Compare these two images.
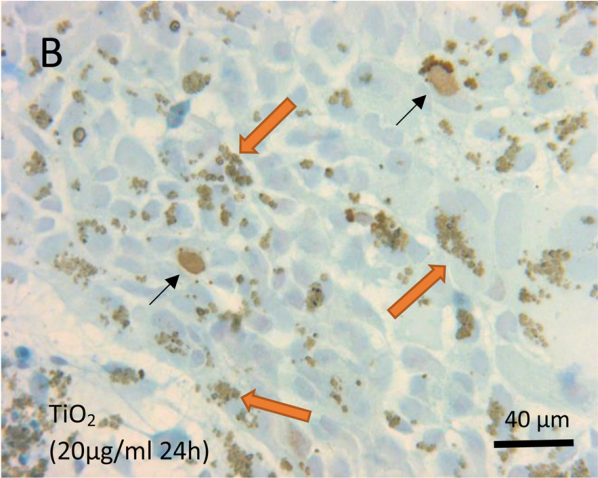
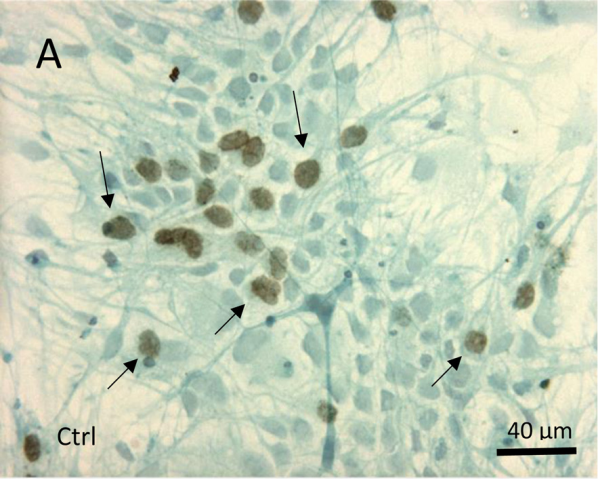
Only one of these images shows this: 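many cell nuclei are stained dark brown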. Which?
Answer: the second image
